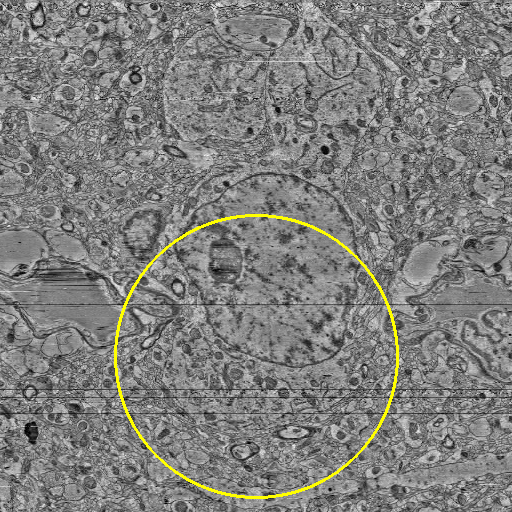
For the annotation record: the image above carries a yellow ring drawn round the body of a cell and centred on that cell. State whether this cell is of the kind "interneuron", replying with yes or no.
No, this cell is of another kind.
